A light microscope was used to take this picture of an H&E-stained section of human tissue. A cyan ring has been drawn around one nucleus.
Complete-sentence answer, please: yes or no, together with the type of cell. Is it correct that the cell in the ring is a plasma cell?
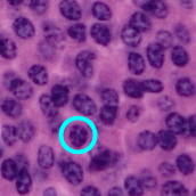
Yes, where cell type is concerned, the cell in the ring is a plasma cell.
